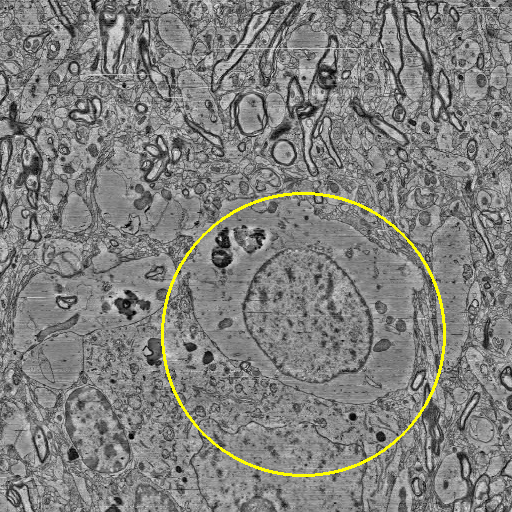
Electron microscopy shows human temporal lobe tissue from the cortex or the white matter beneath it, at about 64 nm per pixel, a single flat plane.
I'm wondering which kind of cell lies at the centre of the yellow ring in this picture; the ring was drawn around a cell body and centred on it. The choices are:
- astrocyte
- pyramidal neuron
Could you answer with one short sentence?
At the centre of the ring lies an astrocyte.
